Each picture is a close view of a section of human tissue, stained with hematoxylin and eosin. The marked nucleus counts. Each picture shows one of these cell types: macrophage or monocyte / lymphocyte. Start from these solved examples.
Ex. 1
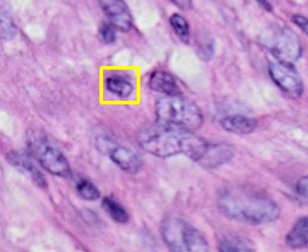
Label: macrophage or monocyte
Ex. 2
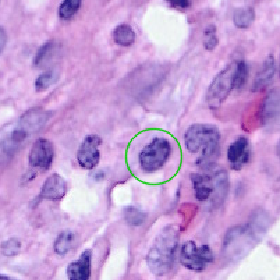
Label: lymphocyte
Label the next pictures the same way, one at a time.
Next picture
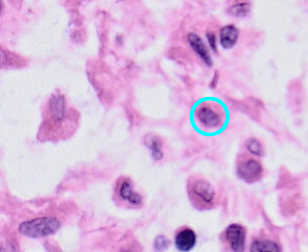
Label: macrophage or monocyte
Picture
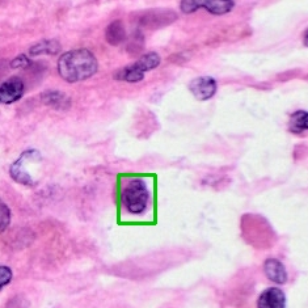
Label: macrophage or monocyte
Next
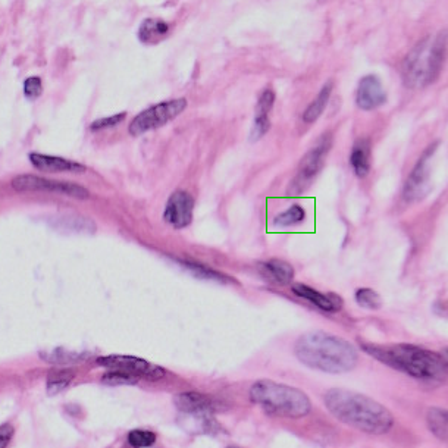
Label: lymphocyte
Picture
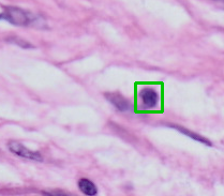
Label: lymphocyte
